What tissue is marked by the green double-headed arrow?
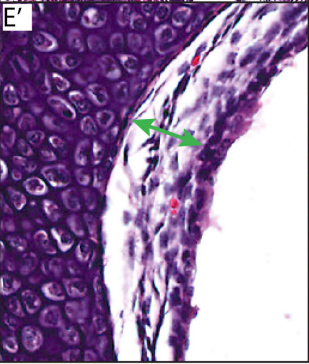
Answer: Connective tissue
